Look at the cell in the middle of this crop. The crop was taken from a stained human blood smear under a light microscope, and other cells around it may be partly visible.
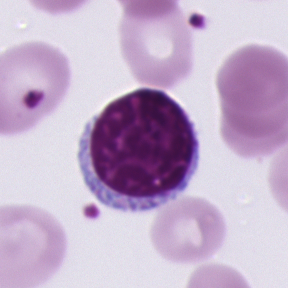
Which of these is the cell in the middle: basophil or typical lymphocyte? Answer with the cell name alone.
typical lymphocyte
